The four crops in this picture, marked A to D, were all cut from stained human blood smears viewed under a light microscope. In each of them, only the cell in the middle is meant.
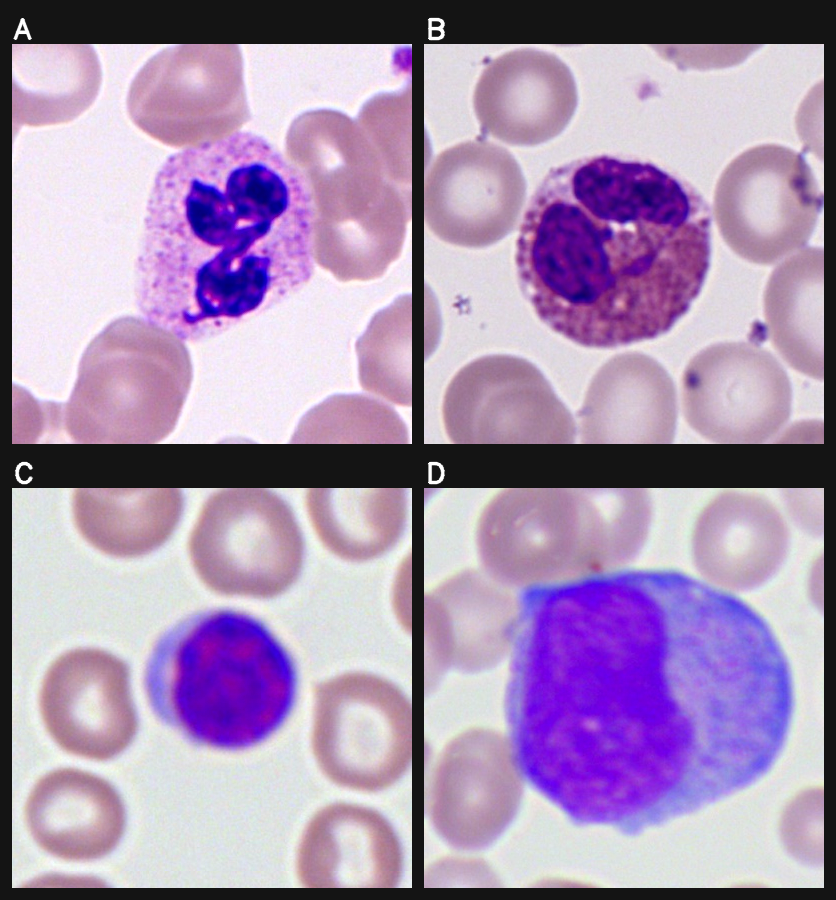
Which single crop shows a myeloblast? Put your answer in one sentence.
The crop bearing a myeloblast is crop D.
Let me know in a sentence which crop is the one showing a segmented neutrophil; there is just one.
The crop with a segmented neutrophil in it is crop A.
